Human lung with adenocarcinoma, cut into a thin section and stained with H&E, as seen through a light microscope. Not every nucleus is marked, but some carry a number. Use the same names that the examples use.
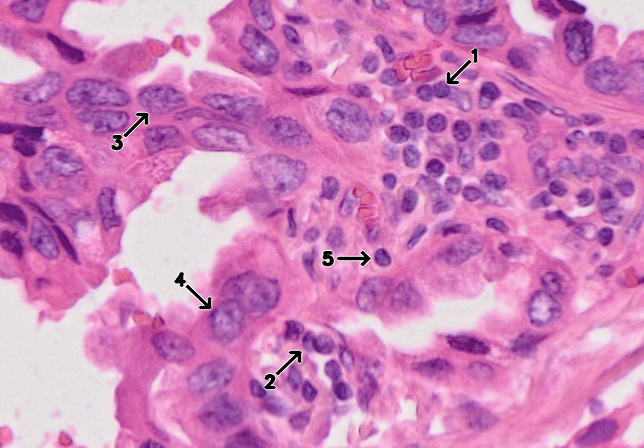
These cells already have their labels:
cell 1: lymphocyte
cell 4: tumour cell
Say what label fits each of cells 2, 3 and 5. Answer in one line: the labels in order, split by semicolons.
lymphocyte; tumour cell; lymphocyte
